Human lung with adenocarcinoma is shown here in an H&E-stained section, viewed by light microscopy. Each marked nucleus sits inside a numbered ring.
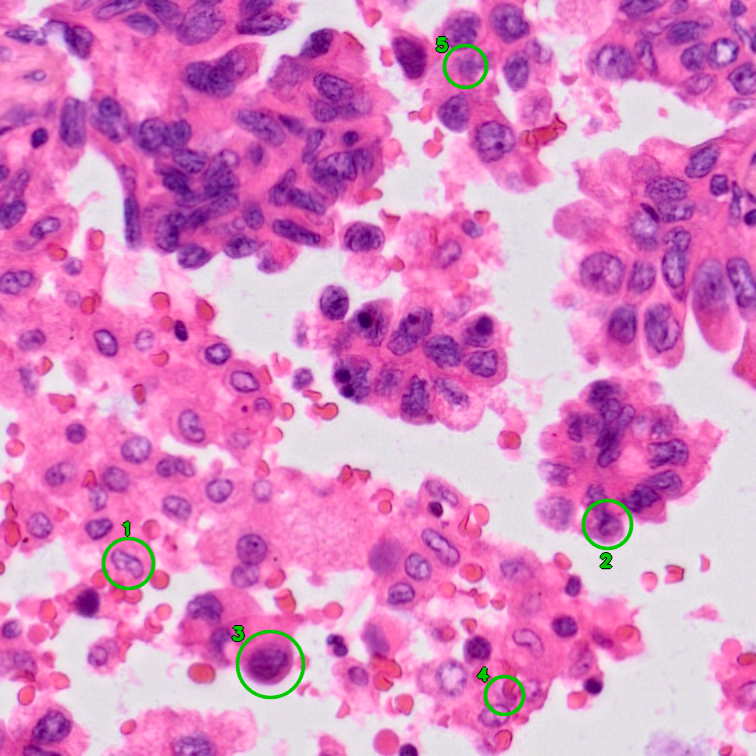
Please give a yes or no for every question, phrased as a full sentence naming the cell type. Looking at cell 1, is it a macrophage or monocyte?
Yes, the cell given number 1 is a macrophage or monocyte.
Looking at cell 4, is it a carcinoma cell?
No, that is wrong: cell 4 is a macrophage or monocyte, and not a carcinoma cell.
